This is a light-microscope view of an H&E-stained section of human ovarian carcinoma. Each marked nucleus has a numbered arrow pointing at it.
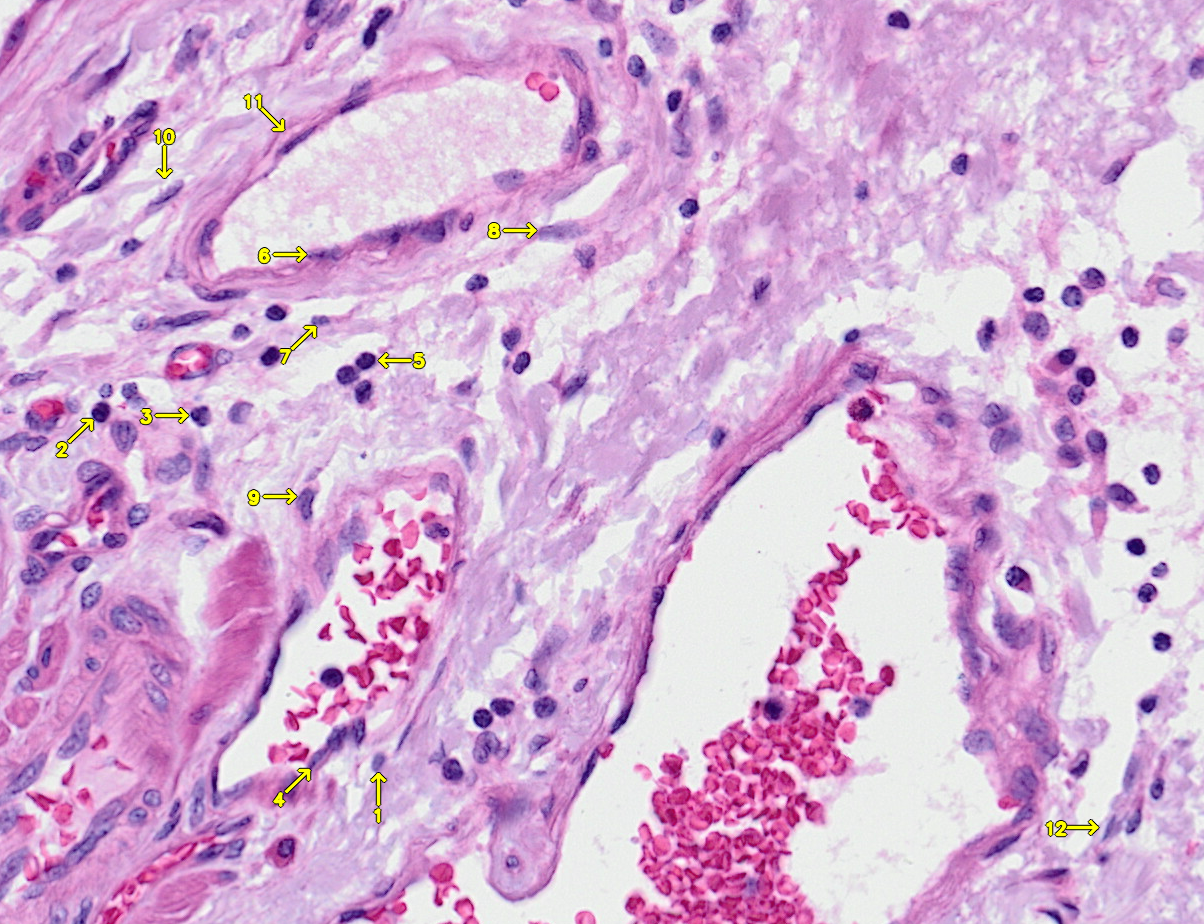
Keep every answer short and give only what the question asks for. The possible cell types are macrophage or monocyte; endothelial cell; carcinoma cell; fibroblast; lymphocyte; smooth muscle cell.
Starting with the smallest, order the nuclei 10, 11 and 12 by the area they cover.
12, 11, 10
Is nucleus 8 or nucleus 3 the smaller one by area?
3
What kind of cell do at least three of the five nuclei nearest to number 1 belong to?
endothelial cell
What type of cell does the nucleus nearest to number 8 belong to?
macrophage or monocyte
